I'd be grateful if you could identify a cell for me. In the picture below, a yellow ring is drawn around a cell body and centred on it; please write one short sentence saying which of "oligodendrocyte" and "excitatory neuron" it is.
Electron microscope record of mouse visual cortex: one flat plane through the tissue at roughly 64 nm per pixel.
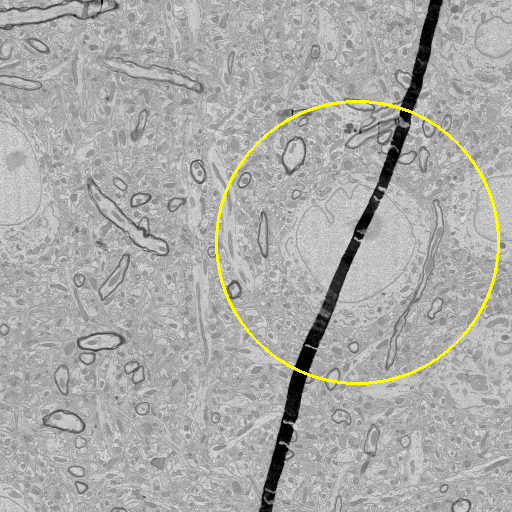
The cell under the ring's centre is an excitatory neuron.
